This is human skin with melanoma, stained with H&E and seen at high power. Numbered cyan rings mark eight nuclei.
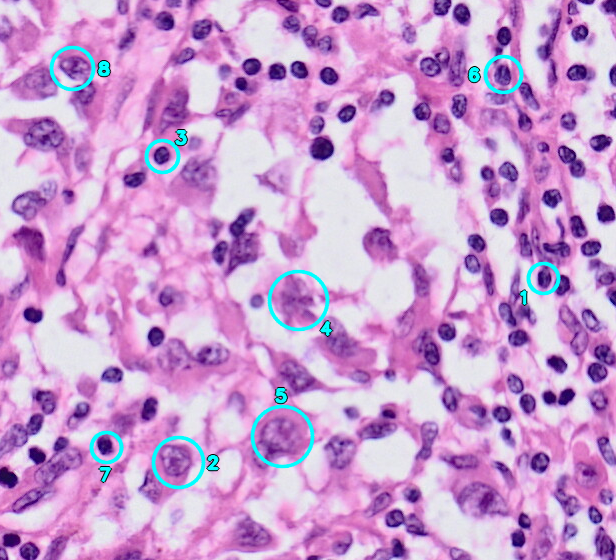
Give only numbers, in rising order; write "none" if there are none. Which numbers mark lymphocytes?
1, 3, 6, 7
